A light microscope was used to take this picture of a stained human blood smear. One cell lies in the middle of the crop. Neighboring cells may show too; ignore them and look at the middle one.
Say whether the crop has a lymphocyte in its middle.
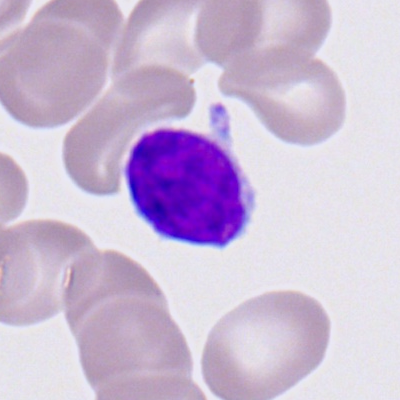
yes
